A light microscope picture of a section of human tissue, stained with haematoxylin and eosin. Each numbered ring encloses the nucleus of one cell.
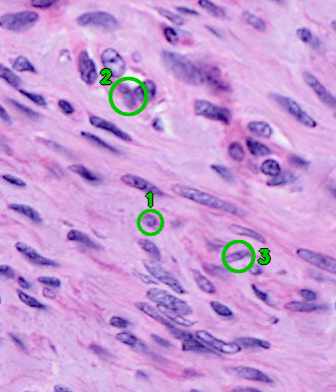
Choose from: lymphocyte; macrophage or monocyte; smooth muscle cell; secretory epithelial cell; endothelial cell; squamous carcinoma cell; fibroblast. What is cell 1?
smooth muscle cell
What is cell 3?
smooth muscle cell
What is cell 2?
endothelial cell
